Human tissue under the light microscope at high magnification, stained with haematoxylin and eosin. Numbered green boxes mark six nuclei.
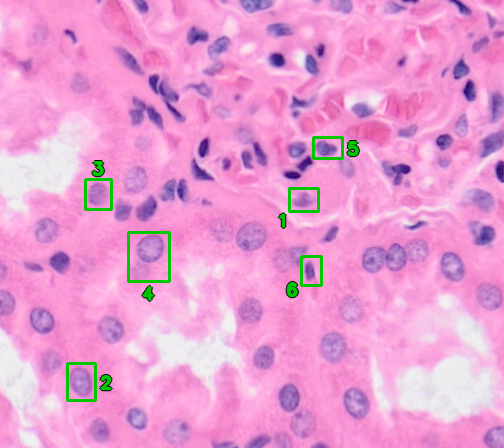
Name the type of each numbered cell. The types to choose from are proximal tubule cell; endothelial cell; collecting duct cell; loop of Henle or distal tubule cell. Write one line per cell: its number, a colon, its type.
1: endothelial cell
2: proximal tubule cell
3: proximal tubule cell
4: proximal tubule cell
5: endothelial cell
6: endothelial cell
